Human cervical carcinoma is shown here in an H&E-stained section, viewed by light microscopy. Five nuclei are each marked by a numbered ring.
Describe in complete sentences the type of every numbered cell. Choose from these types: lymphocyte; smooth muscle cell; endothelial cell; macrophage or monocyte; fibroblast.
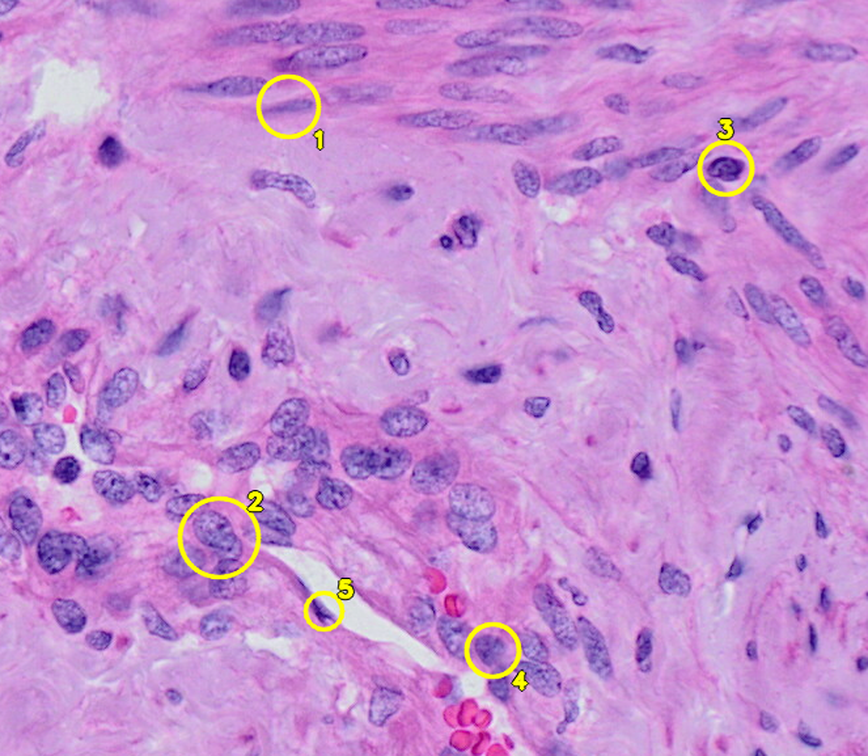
Cell 1 is a smooth muscle cell, cell 2 is an endothelial cell, cell 3 is a lymphocyte, cell 4 is an endothelial cell and cell 5 is an endothelial cell.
